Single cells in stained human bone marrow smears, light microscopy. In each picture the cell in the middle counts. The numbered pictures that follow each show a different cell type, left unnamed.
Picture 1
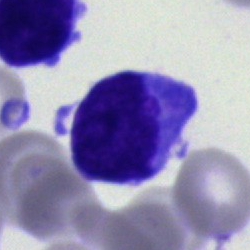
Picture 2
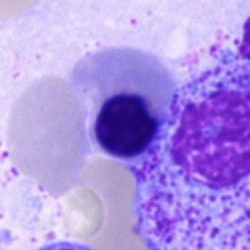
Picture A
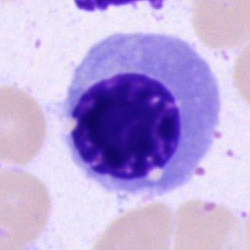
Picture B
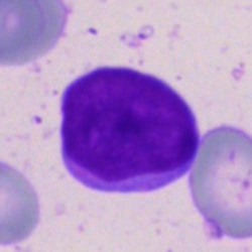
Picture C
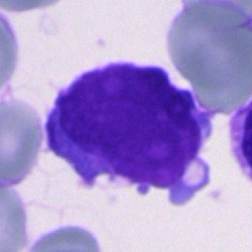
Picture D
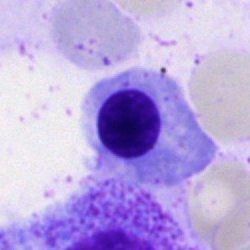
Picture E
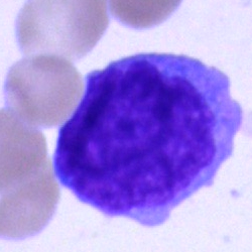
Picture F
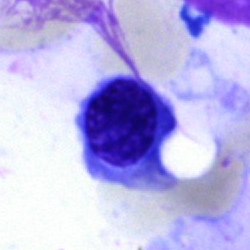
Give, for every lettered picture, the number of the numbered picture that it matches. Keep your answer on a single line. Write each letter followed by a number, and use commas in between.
A 2, B 1, C 1, D 2, E 1, F 2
